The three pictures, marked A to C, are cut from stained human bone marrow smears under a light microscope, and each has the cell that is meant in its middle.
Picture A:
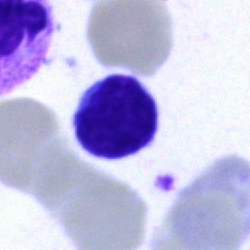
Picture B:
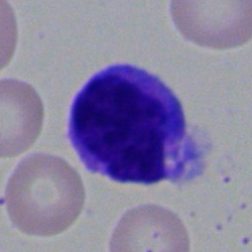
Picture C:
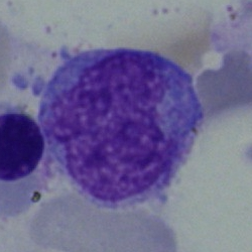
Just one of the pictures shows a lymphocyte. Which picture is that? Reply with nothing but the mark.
A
